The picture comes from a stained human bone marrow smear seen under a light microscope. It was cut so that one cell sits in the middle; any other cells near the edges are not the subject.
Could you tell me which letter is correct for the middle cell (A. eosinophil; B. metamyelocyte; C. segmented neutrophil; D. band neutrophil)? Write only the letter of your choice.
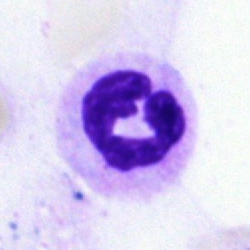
C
